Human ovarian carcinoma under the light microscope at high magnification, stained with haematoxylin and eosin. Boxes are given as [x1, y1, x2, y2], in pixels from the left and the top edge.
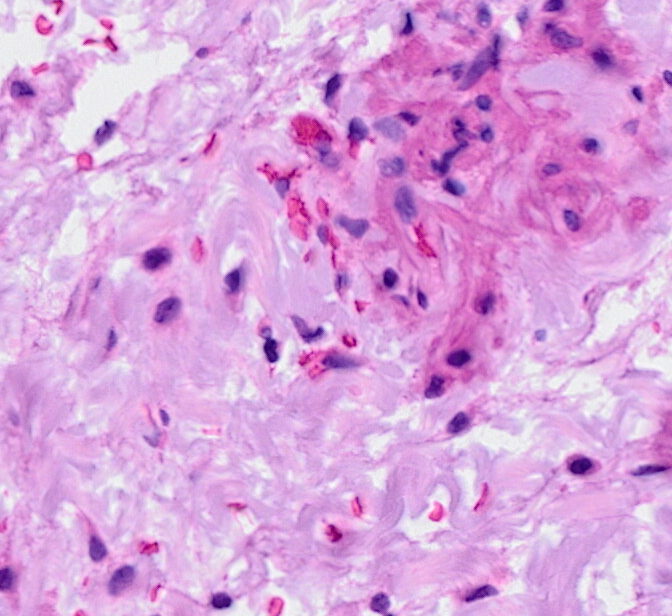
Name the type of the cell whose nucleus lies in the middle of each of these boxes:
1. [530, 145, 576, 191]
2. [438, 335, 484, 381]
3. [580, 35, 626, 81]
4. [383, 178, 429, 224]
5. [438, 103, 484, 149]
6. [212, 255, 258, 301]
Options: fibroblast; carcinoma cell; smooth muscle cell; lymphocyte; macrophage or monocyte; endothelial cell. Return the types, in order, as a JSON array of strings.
["smooth muscle cell", "smooth muscle cell", "smooth muscle cell", "endothelial cell", "smooth muscle cell", "fibroblast"]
